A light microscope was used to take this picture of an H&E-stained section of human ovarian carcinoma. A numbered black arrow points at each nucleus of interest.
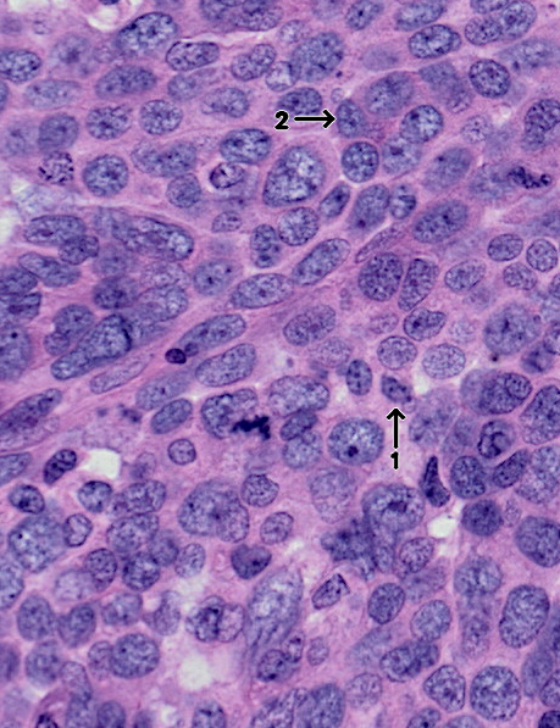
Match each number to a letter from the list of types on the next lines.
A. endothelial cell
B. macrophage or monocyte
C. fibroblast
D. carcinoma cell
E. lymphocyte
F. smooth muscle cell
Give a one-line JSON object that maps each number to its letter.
{"1": "B", "2": "D"}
